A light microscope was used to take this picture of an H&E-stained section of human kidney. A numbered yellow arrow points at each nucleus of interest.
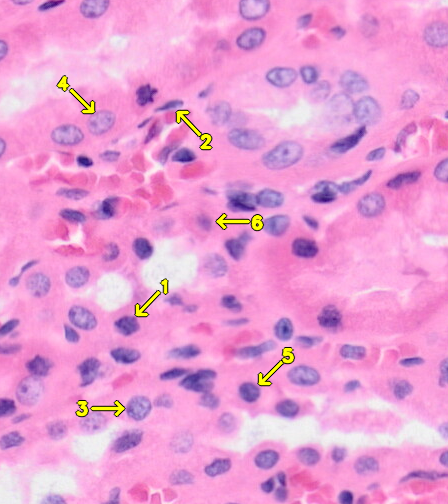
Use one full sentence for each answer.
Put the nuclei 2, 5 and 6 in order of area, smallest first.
The order from the smallest nucleus to the largest is 2, 6, 5.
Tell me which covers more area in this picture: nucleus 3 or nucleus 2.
The larger nucleus is 3, at roughly 3 times the area of 2.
